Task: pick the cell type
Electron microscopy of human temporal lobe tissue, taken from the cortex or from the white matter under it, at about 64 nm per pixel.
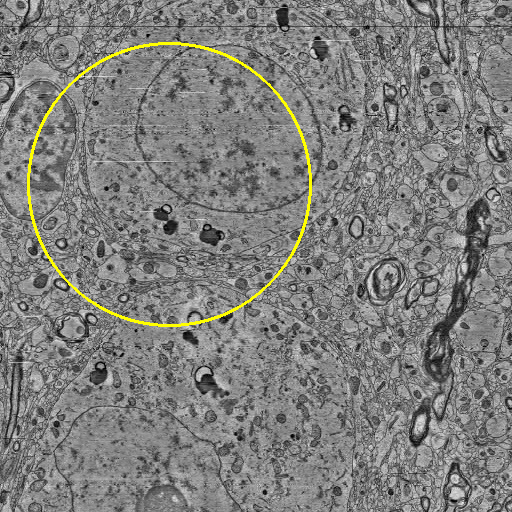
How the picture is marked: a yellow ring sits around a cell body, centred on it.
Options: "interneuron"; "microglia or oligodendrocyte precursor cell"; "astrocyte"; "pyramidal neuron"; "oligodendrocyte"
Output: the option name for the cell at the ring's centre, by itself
pyramidal neuron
